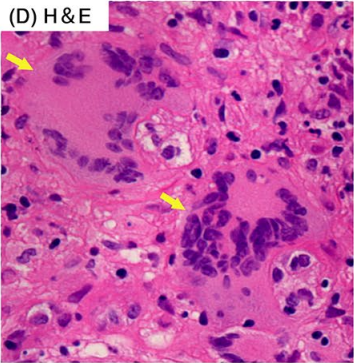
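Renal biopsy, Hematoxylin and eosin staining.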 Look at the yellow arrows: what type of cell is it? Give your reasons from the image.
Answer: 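Multinucleated giant cells. Very large cells with abundant pink cytoplasm. Many nuclei are arranged in a ring or crowded cluster at the cell edge.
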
